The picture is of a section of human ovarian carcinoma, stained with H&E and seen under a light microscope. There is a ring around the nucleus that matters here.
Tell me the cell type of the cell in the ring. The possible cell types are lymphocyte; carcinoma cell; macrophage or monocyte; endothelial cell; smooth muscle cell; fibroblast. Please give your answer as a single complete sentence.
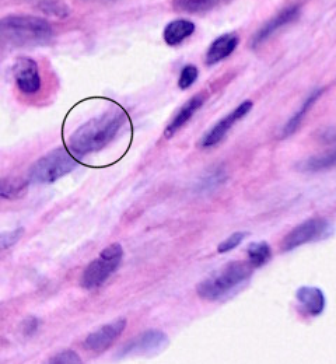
As far as its identity is concerned, the cell in the ring is a fibroblast.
